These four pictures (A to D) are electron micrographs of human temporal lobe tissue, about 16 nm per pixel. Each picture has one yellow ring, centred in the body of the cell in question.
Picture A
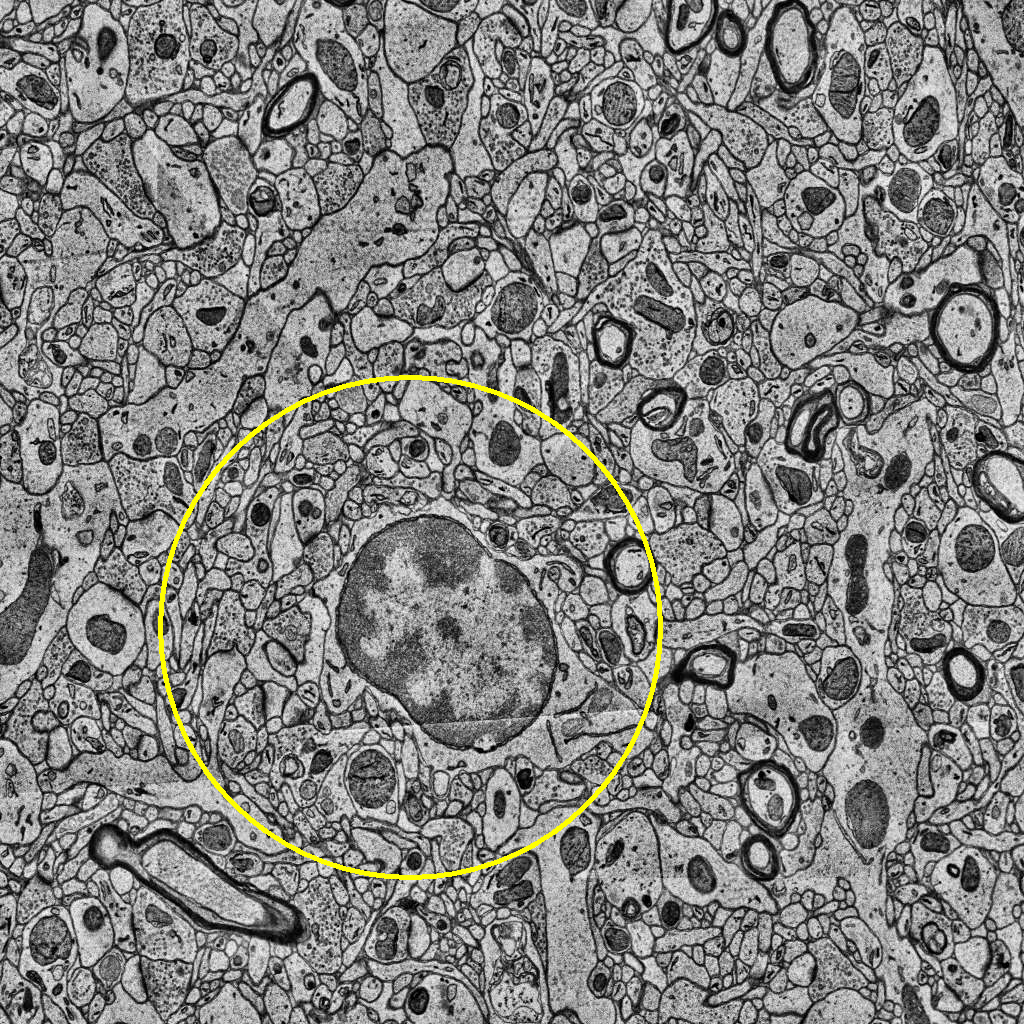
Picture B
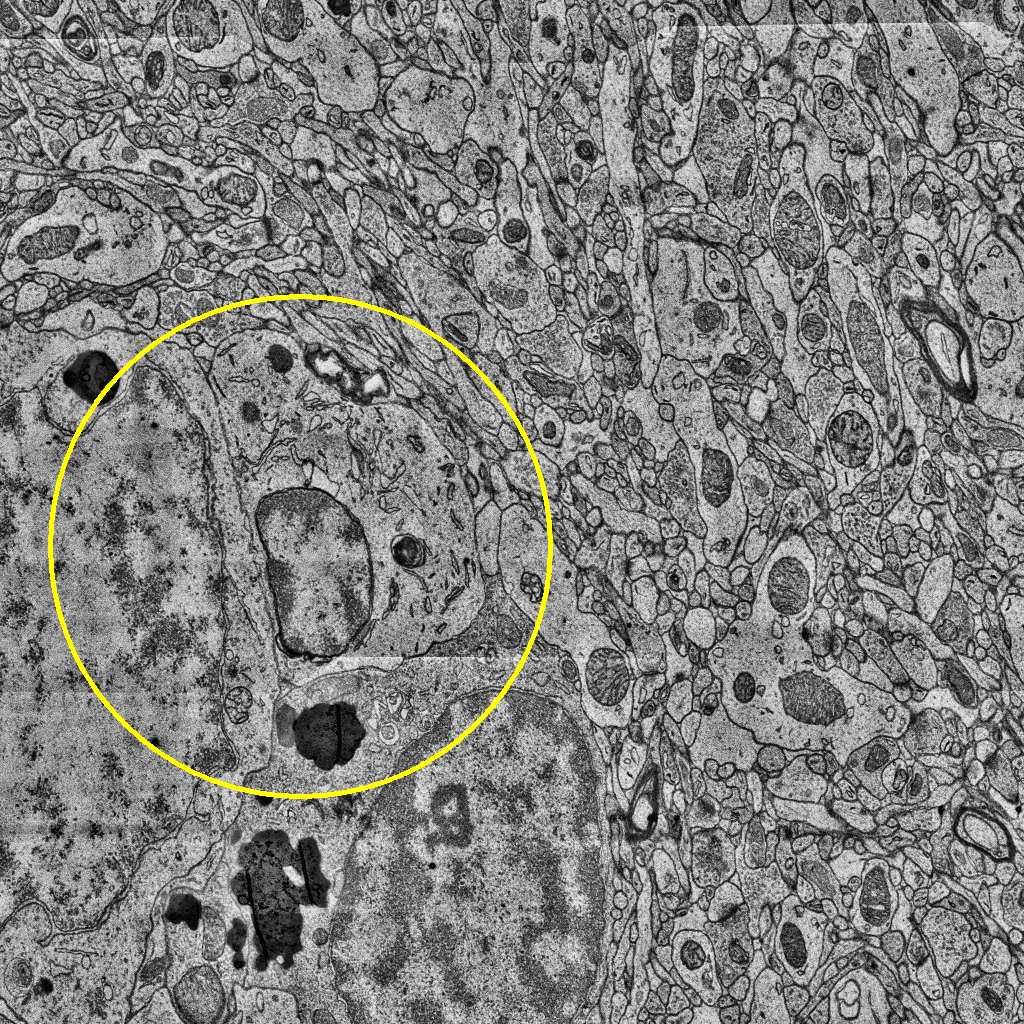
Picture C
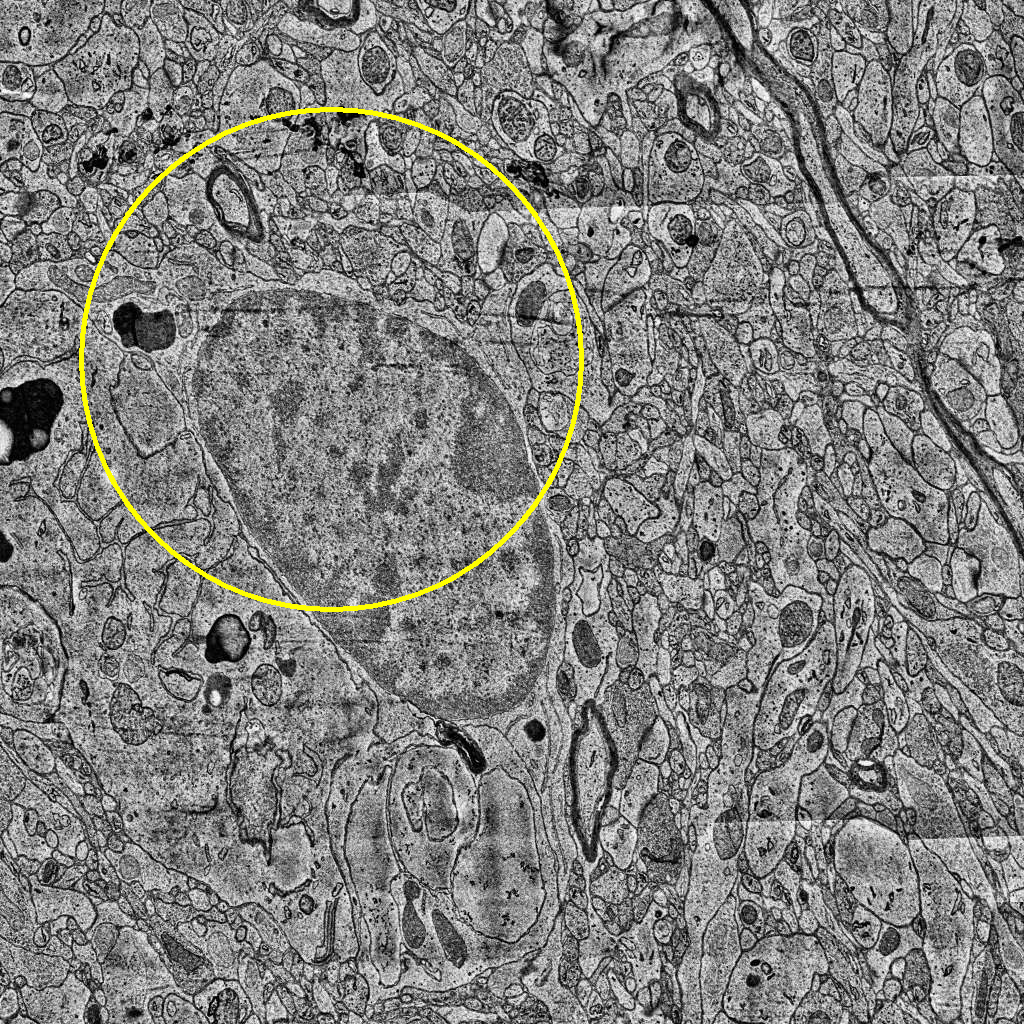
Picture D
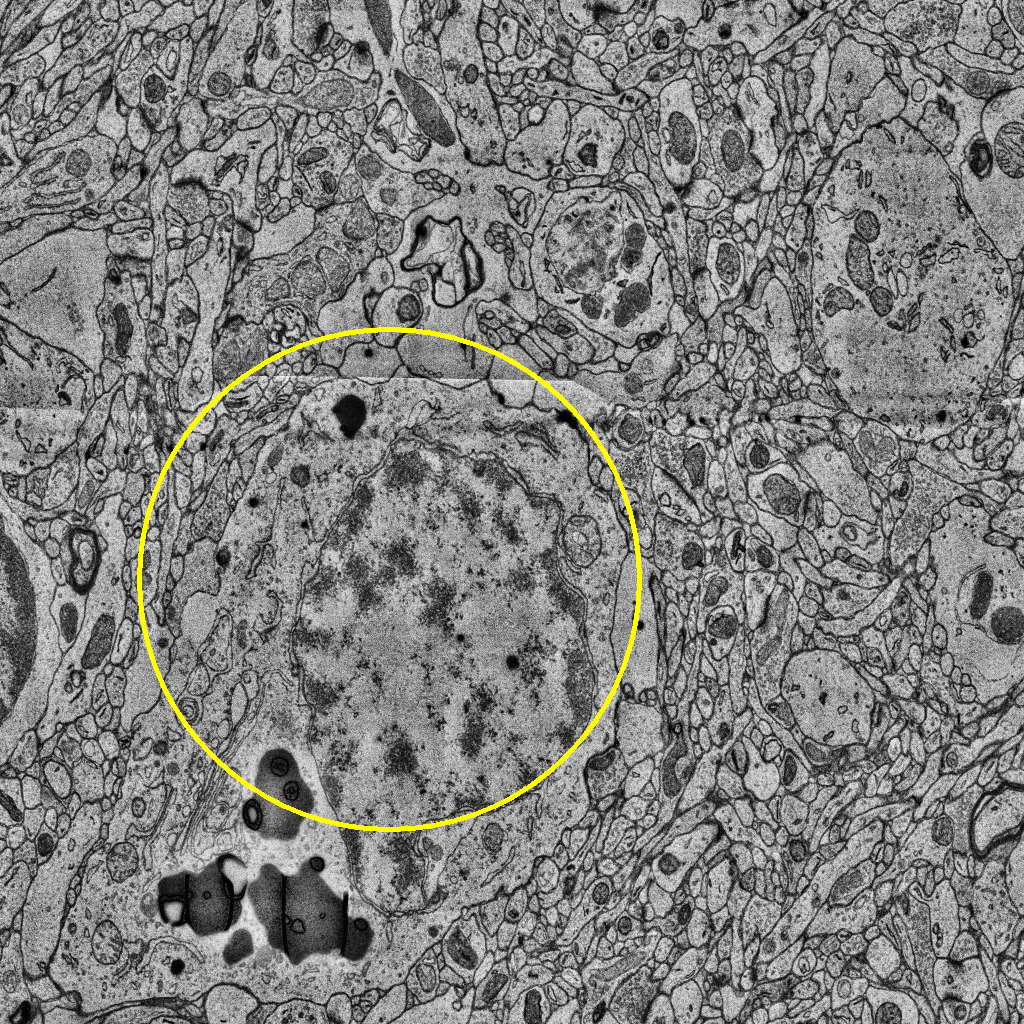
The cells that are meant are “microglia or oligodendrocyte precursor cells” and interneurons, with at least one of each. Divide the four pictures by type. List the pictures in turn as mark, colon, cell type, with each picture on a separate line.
A: microglia or oligodendrocyte precursor cell
B: microglia or oligodendrocyte precursor cell
C: microglia or oligodendrocyte precursor cell
D: interneuron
